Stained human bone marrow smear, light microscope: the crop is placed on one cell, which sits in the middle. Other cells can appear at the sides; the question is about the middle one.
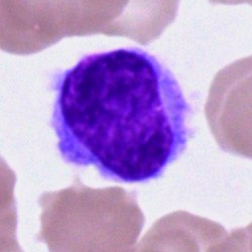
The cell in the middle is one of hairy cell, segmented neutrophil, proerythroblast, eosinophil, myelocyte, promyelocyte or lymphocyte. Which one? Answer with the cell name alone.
hairy cell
